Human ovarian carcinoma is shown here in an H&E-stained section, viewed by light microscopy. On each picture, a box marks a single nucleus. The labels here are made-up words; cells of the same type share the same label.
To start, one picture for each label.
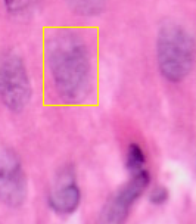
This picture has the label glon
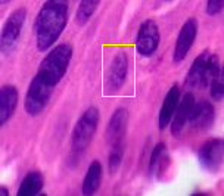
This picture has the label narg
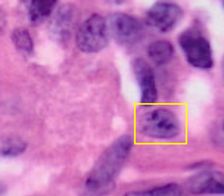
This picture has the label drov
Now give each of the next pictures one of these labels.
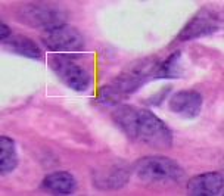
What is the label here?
narg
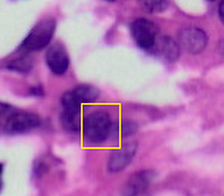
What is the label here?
narg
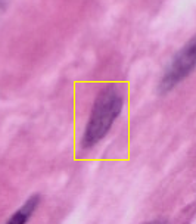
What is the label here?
glon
